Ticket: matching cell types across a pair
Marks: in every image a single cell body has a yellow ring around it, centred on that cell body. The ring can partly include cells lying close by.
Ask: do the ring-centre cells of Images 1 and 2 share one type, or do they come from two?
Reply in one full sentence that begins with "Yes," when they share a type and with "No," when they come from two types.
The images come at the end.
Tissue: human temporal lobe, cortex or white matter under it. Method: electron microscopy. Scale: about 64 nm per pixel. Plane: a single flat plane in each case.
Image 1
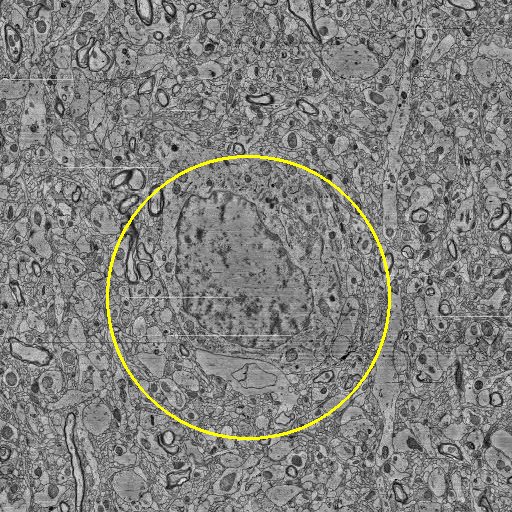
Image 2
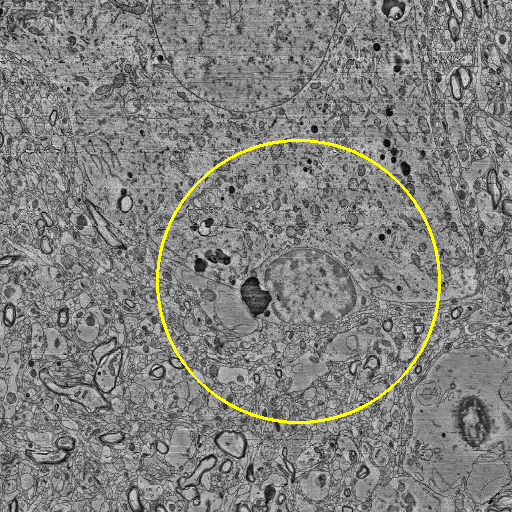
No, the cells in the centres of the rings in Image 1 and Image 2 come from two types.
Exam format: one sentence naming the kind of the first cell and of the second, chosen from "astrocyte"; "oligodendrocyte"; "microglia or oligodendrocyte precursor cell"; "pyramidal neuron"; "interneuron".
The first picture's cell is an interneuron, and the second picture's cell is an oligodendrocyte.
